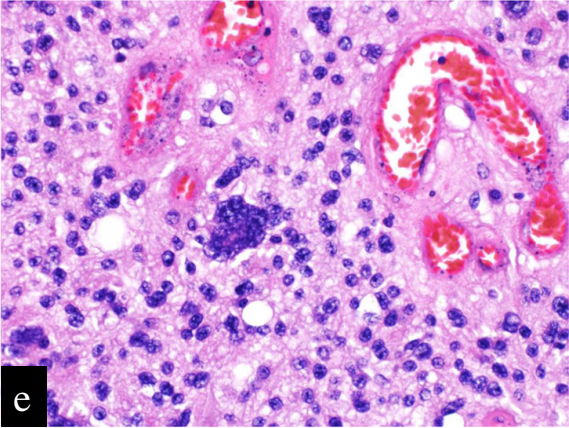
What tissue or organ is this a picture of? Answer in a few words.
Densely cellular glial elements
